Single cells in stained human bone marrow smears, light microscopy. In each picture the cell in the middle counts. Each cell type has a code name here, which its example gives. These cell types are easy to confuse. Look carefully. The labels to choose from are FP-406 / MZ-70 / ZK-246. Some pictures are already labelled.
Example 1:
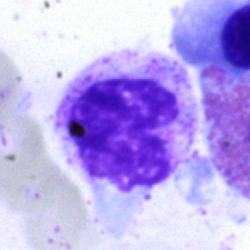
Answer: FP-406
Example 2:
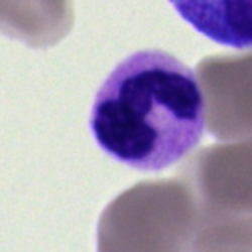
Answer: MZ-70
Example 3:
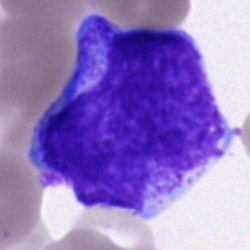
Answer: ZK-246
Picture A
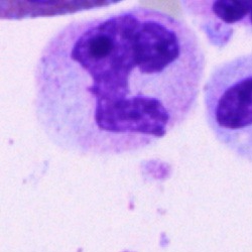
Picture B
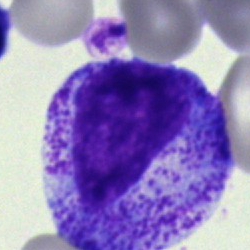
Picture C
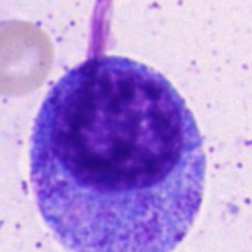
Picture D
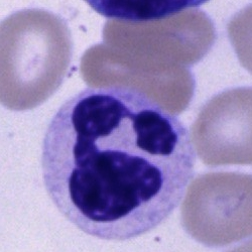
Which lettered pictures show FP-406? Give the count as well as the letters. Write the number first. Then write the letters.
0, none of them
